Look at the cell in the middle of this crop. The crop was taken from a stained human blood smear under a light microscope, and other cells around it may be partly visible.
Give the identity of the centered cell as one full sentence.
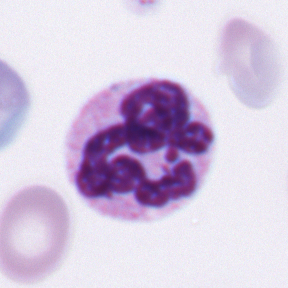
The cell centered in this field of view is a segmented neutrophil.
